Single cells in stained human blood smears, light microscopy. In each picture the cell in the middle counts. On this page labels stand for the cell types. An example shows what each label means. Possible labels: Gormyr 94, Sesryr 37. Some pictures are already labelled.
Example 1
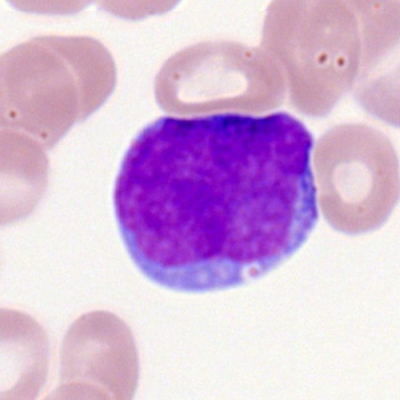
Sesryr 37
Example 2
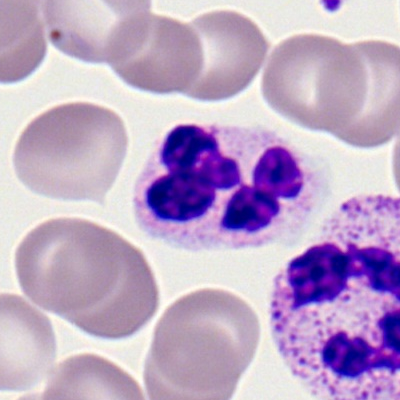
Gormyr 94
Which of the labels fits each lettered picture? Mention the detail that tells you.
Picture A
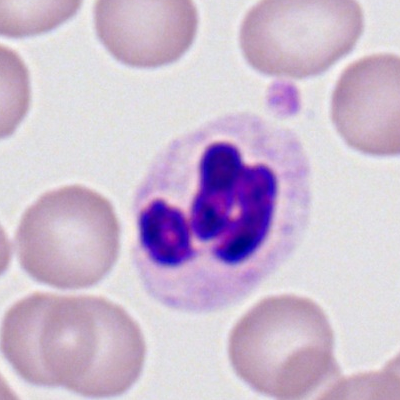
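Gormyr 94. Reason: The cytoplasm is plentiful and pale pinkish-lilac.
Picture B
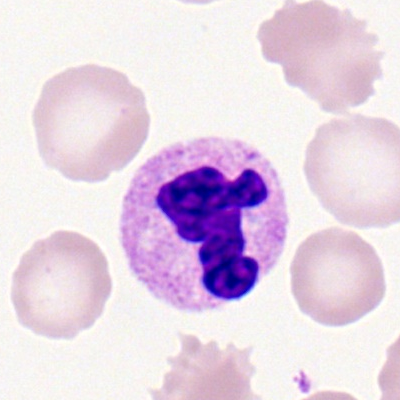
Gormyr 94. Reason: The nucleus is divided into separate lobes joined by narrower bands of chromatin.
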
